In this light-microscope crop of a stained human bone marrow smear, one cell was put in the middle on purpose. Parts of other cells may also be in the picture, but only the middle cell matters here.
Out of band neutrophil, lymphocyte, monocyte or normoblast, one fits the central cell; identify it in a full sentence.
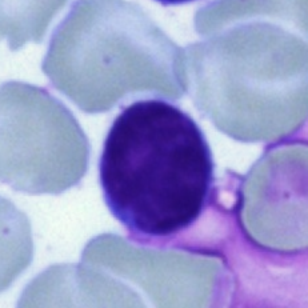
Seen at the centre of the crop is a lymphocyte.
